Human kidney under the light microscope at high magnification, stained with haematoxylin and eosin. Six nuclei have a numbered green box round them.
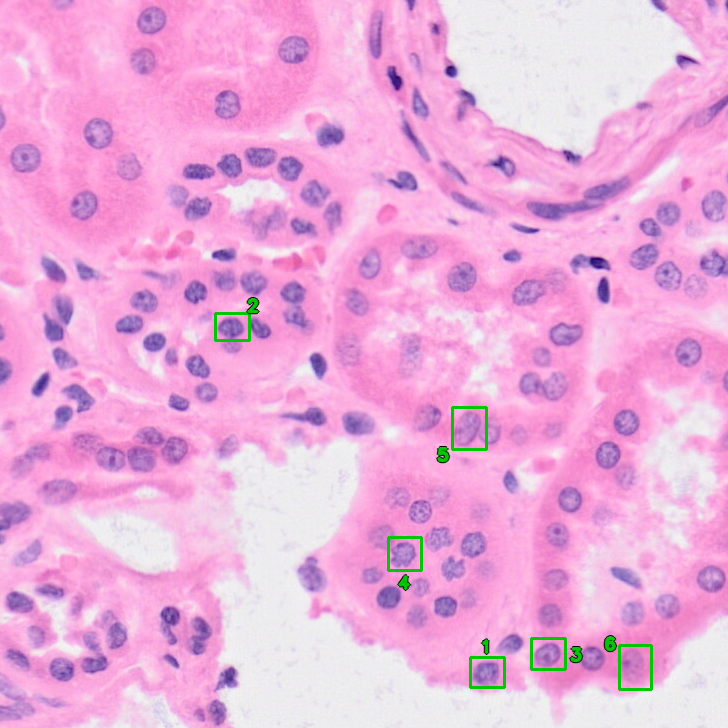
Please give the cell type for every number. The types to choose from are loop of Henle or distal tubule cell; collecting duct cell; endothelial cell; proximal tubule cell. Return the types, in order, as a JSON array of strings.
["loop of Henle or distal tubule cell", "collecting duct cell", "proximal tubule cell", "loop of Henle or distal tubule cell", "proximal tubule cell", "proximal tubule cell"]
